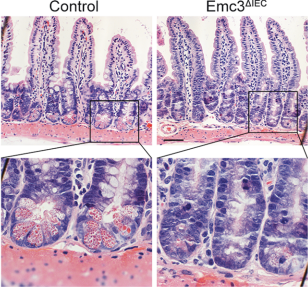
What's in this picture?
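Finger-like villi lined by a single layer of columnar epithelium rise above short crypts that sit on a pink muscle layer. At the base of the crypts on the left lie clustered cells whose cytoplasm is filled with bright red-pink granules, the granule-laden Paneth cells; in the crypts on the right such bright red granules are sparse and the crypt bases look paler.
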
